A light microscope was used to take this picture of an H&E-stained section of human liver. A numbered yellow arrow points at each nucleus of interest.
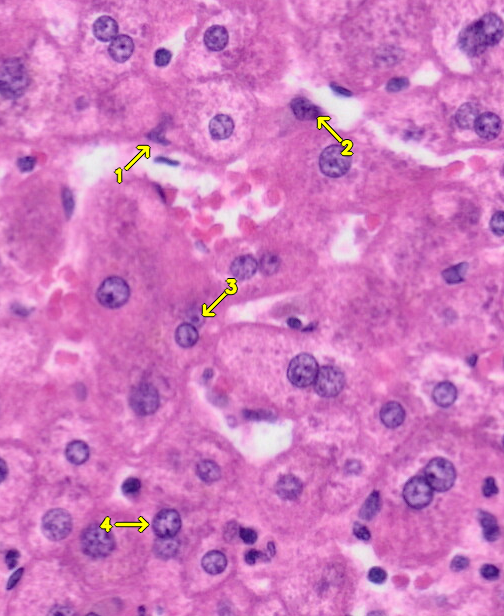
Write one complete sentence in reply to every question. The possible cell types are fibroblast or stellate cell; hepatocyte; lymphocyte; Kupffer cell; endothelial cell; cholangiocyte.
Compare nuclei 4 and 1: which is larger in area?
Of the two, number 4 is bigger and takes up about 2.5 times the area of number 1.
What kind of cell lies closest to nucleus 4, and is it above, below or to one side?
The nearest nucleus is that of a hepatocyte and lies below nucleus 4.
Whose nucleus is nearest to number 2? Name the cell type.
It is an endothelial cell whose nucleus is nearest to number 2.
